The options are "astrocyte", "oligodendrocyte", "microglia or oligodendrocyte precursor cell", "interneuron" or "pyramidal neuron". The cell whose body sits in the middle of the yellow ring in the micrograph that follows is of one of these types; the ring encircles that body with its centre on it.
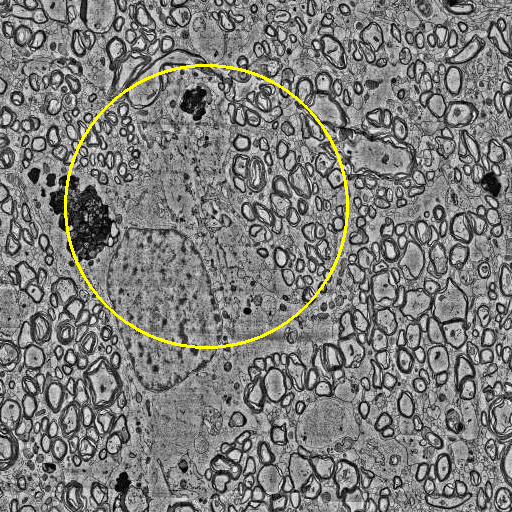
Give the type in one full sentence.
Going by the micrograph, the cell centred in the yellow ring is an astrocyte.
